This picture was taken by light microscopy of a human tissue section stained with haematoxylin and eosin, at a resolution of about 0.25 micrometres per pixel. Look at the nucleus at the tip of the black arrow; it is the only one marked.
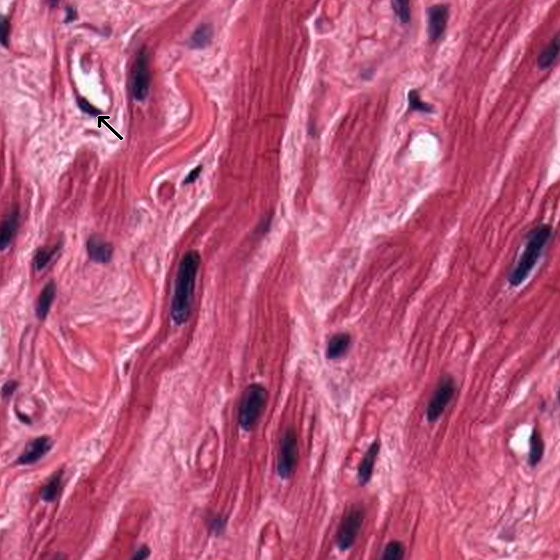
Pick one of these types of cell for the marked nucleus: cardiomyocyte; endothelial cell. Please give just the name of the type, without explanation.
endothelial cell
